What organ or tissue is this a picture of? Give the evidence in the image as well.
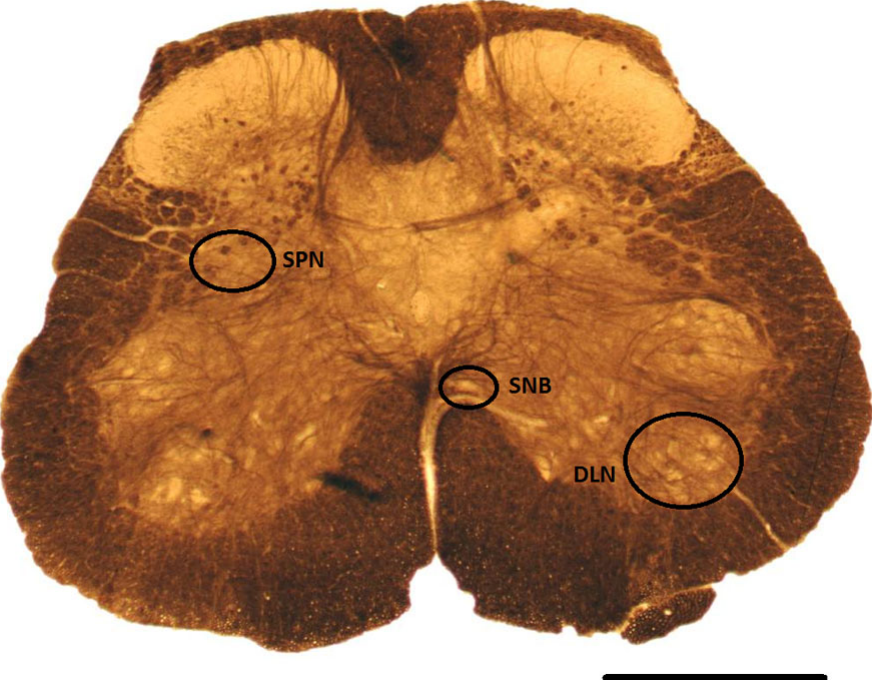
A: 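Spinal cord. A transverse section with dark outer white matter around paler central grey matter in a butterfly shape. A deep cleft runs into the midline from the bottom edge.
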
